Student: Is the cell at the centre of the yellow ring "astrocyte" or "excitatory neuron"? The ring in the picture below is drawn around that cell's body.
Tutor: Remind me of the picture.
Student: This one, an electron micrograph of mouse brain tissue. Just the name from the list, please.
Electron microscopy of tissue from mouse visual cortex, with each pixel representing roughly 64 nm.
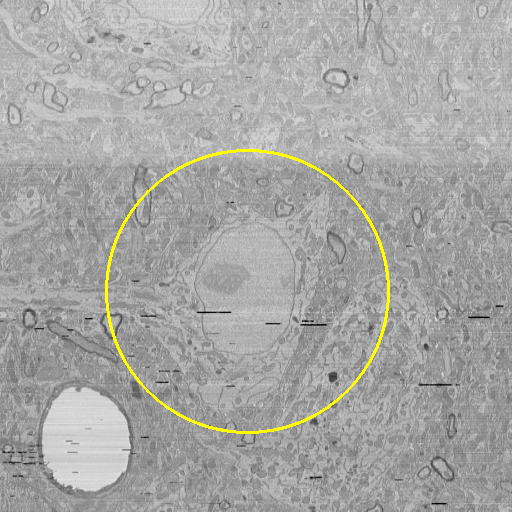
excitatory neuron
